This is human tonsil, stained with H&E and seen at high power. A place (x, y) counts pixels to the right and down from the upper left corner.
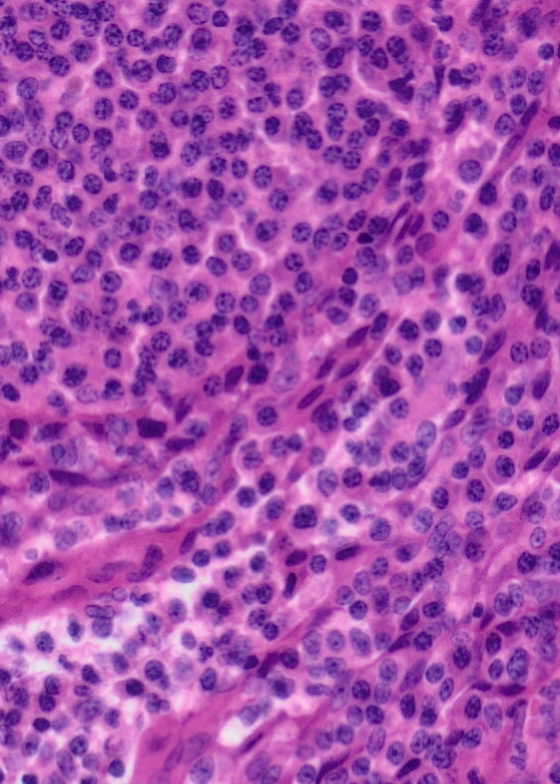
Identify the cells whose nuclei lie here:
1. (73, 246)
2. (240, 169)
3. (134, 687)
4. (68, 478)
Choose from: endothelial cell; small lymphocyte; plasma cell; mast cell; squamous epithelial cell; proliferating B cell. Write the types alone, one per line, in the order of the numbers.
plasma cell
plasma cell
plasma cell
squamous epithelial cell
